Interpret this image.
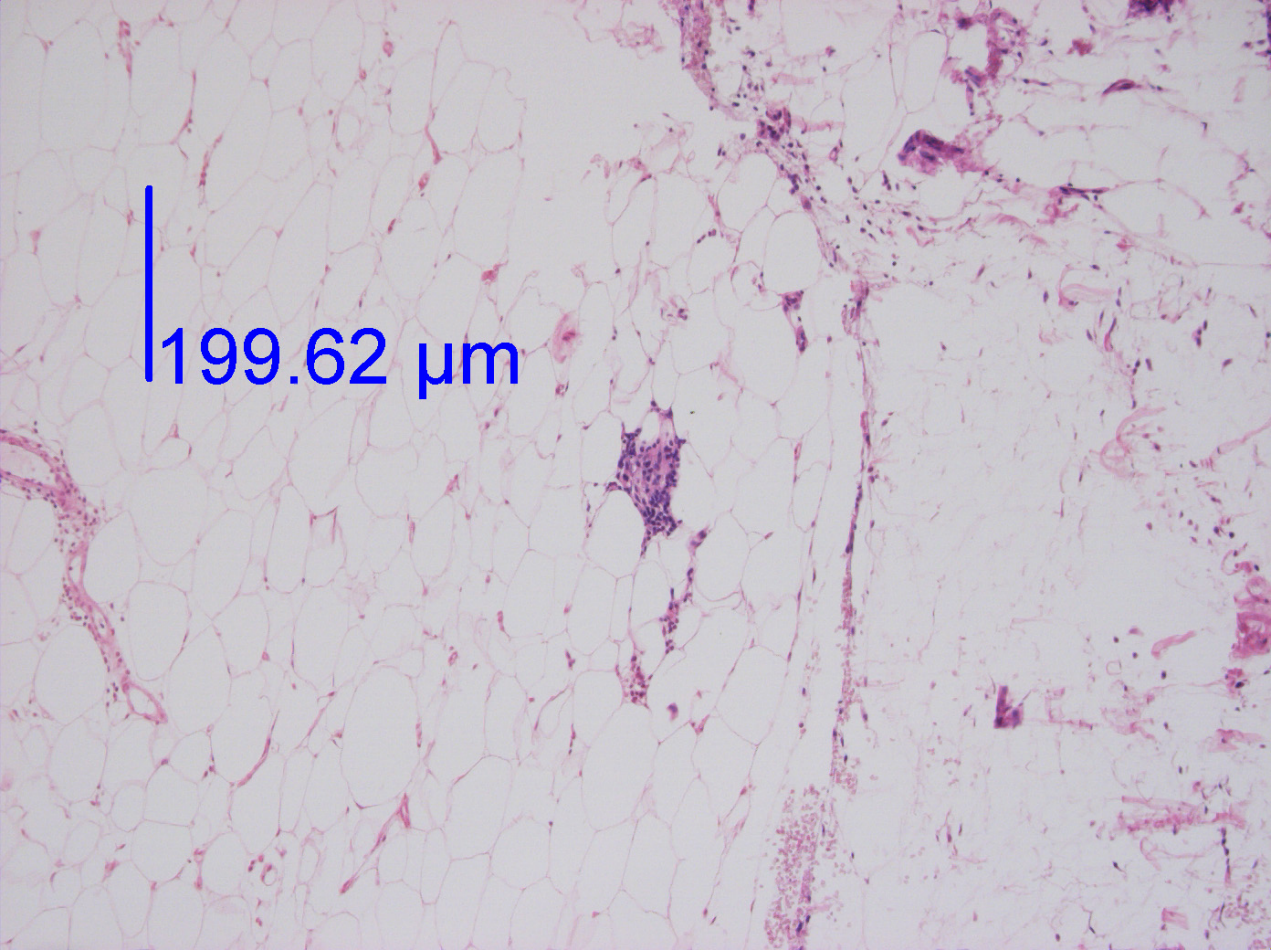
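Adipose tissue is seen at low power, made of large polygonal fat cells that appear as empty, clear spaces outlined by thin pink membranes, with only occasional flattened nuclei at their rims. Near the centre, a small focus of densely packed cells with dark purple nuclei lies wedged between the fat cells, and fewer such cells trail along thin septa and around small vessels. Toward the right, the tissue becomes looser and paler, with wavy pink fibres, scattered nuclei and small vessels containing red blood cells.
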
